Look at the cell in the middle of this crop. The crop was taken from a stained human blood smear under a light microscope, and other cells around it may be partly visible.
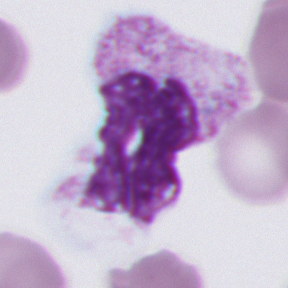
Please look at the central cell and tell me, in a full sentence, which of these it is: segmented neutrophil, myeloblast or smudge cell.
The cell that lies at the centre of the crop is a segmented neutrophil.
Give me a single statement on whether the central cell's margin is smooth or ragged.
The margin of this cell is irregular, showing raggedness or projections instead of smoothness.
